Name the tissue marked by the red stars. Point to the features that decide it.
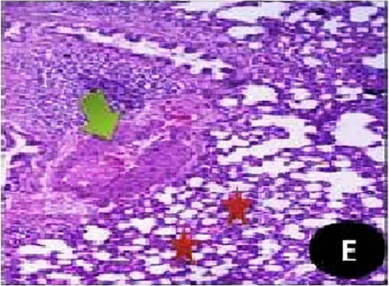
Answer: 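Open alveolar spaces with thin septa around the stars.
Hence: pulmonary parenchyma.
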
